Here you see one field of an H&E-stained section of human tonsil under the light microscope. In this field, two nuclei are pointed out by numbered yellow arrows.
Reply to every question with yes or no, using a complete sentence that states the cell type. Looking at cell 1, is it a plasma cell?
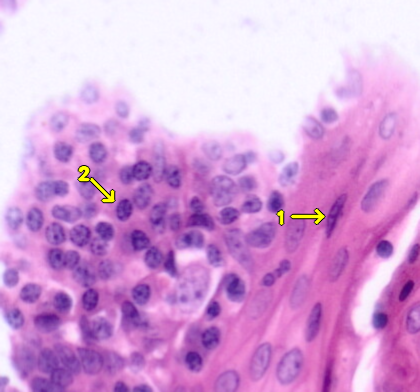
No, the cell with the number 1 is a squamous epithelial cell, not a plasma cell.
